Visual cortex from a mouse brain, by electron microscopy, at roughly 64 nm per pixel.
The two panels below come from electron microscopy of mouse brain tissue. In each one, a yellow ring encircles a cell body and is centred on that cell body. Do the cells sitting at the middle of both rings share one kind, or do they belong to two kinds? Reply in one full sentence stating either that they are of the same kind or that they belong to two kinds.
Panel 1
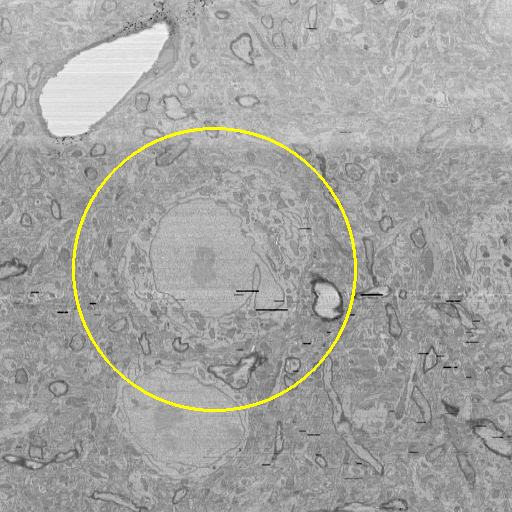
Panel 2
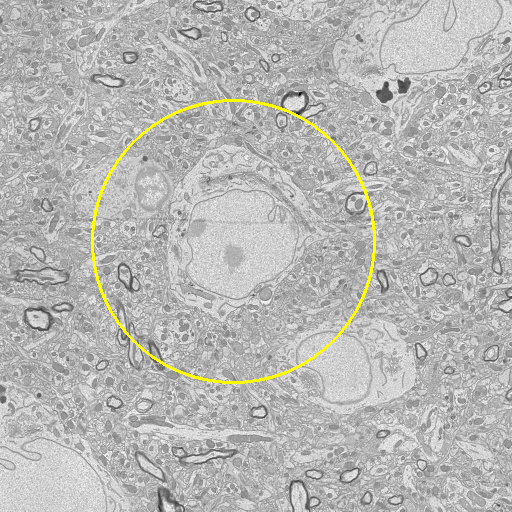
The cells at the centres of the two rings belong to two kinds.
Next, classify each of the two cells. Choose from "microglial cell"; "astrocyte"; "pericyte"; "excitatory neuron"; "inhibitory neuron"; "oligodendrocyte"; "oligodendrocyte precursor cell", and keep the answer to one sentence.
In the first picture it is an inhibitory neuron; in the second it is an excitatory neuron.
